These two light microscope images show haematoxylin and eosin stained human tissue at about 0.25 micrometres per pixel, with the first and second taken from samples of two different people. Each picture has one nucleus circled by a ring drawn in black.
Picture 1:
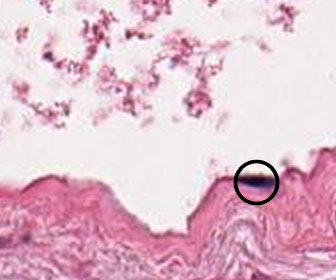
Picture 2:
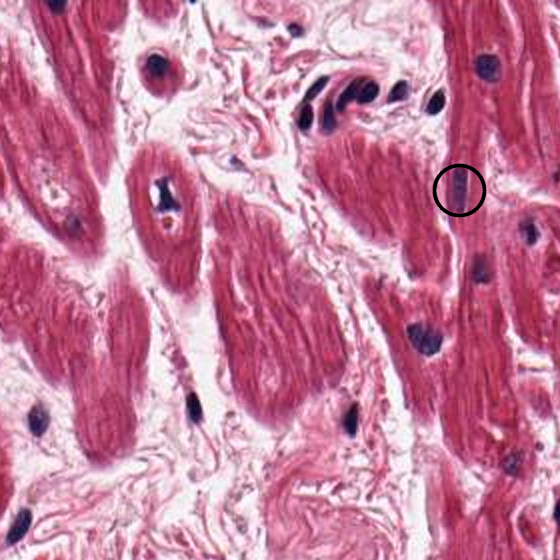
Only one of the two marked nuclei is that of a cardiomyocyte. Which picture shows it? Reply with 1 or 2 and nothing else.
2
